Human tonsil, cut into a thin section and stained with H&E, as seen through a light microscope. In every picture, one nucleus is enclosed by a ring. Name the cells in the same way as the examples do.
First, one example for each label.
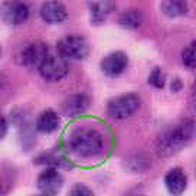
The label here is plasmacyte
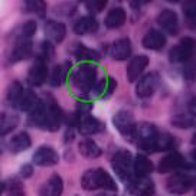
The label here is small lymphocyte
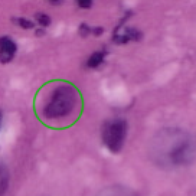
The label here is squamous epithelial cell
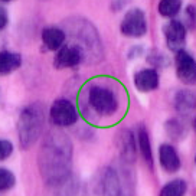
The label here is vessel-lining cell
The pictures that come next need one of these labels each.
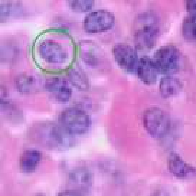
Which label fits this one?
plasmacyte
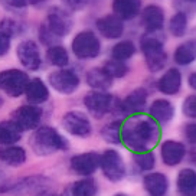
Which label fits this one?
small lymphocyte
